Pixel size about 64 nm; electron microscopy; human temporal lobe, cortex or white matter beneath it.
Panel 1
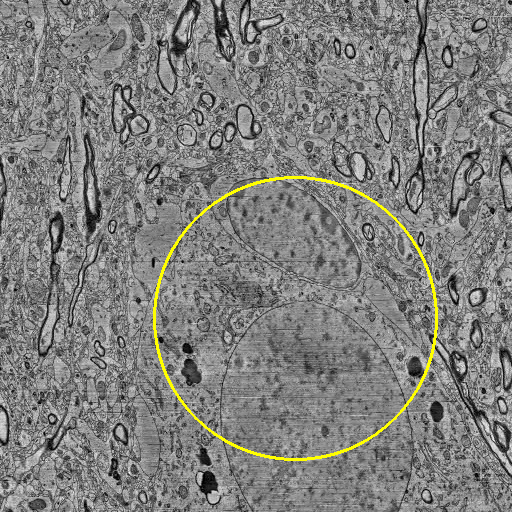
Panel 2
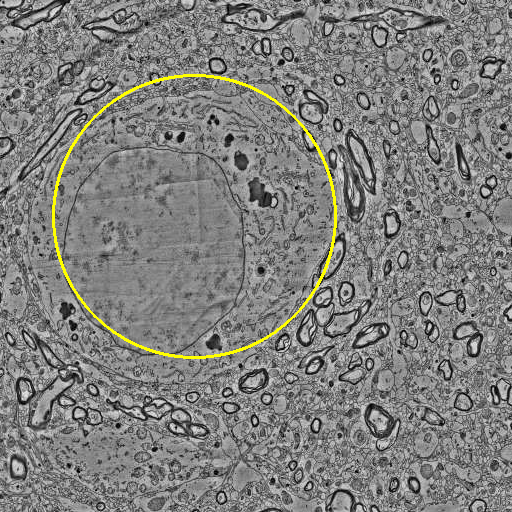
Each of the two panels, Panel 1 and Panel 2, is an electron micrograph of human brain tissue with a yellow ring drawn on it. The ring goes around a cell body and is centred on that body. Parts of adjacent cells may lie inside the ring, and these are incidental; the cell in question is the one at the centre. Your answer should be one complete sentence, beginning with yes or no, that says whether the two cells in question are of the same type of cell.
Yes, the two cells are of the same type.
